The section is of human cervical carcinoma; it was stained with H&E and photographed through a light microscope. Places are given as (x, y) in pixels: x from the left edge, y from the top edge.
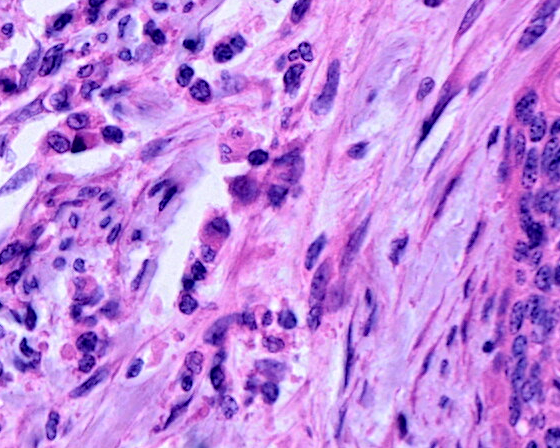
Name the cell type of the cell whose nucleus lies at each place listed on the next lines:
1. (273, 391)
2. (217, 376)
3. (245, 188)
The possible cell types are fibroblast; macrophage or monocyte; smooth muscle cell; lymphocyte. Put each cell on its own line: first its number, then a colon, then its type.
1: lymphocyte
2: lymphocyte
3: macrophage or monocyte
